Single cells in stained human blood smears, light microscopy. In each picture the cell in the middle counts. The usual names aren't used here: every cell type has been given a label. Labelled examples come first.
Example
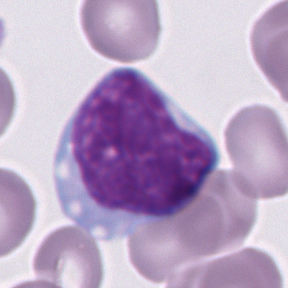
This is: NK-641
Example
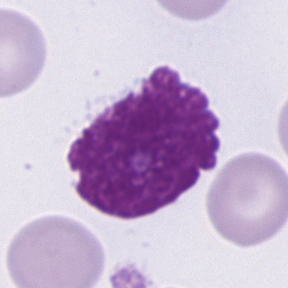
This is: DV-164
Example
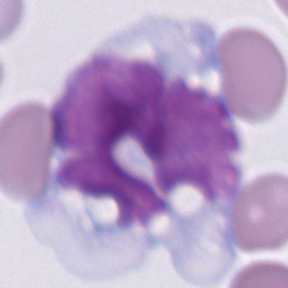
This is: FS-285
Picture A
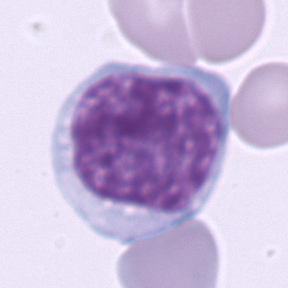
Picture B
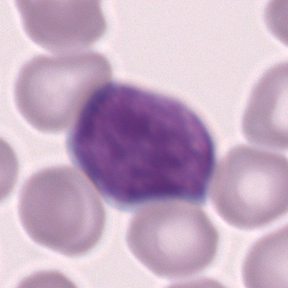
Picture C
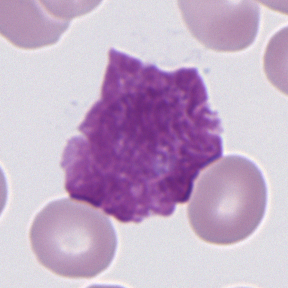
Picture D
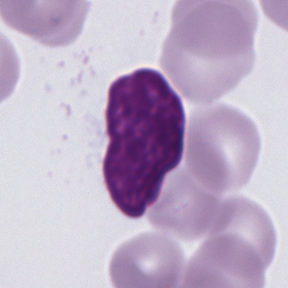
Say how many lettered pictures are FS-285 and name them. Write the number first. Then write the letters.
0, none of them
